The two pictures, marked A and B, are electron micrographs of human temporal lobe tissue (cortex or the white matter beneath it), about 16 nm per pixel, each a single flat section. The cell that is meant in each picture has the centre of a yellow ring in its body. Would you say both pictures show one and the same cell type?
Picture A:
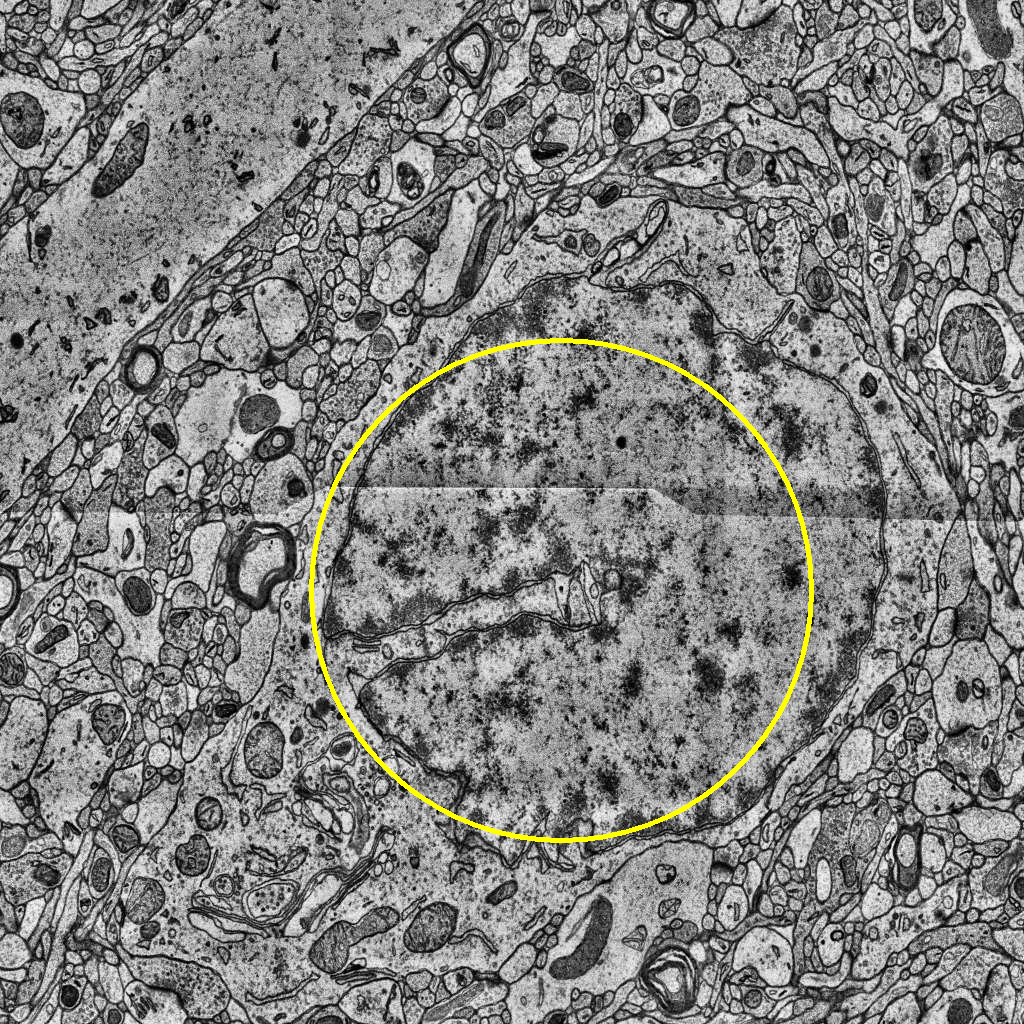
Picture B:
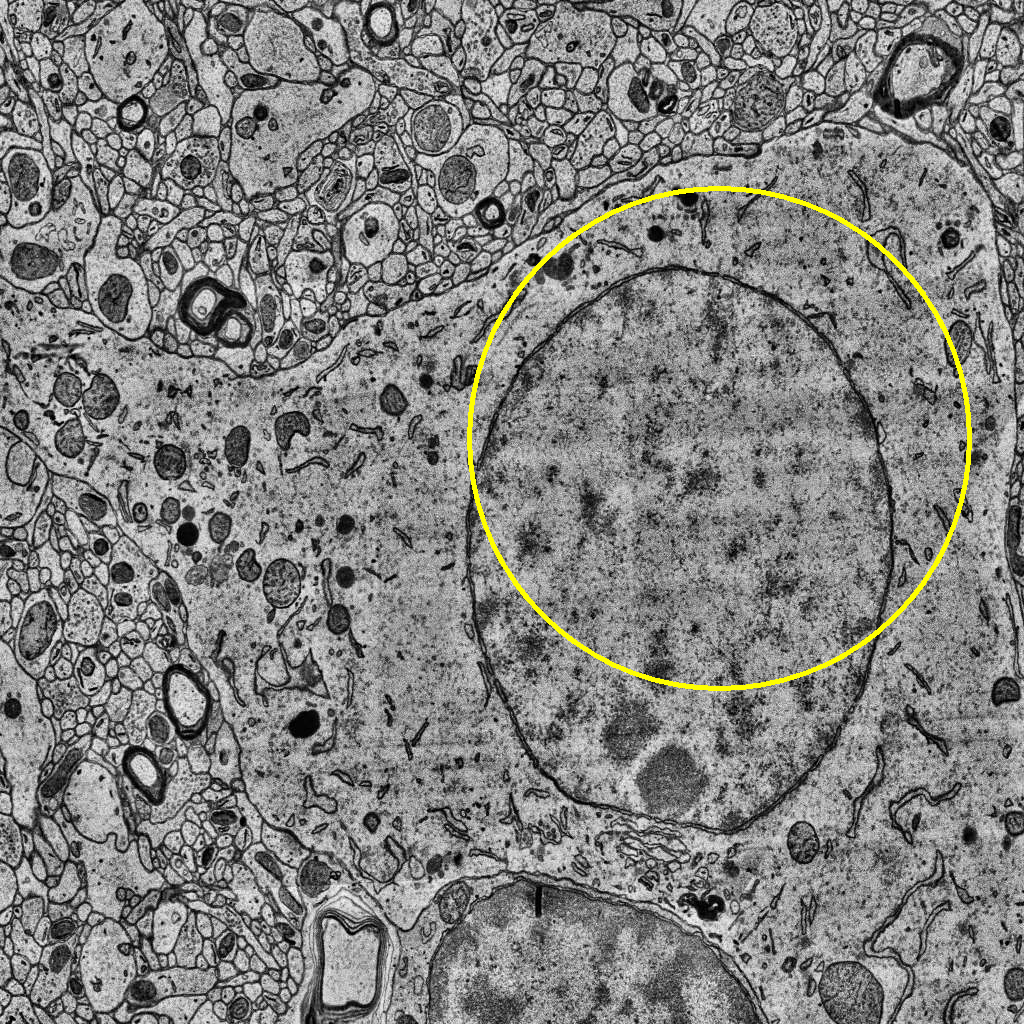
No; the cell in picture A is an interneuron, while the one in picture B is a pyramidal neuron.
